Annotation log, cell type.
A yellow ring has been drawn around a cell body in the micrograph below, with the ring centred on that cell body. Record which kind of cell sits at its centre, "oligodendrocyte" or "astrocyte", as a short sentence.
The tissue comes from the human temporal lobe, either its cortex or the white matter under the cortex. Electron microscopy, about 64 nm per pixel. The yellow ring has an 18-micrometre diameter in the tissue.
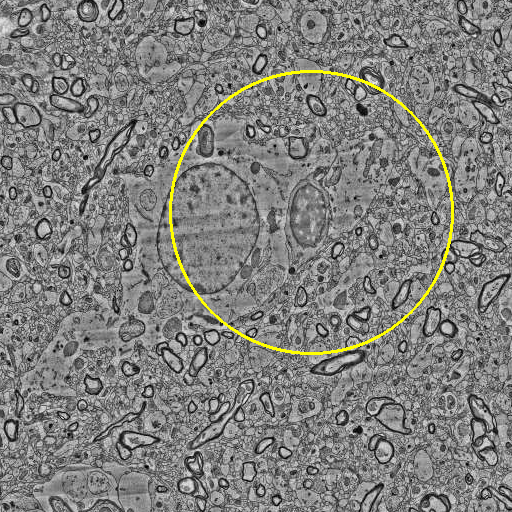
The cell at the centre of this ring is an oligodendrocyte.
